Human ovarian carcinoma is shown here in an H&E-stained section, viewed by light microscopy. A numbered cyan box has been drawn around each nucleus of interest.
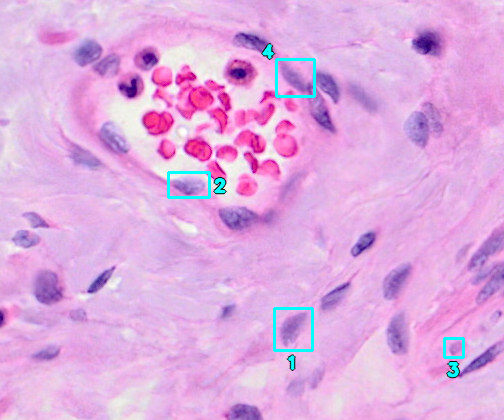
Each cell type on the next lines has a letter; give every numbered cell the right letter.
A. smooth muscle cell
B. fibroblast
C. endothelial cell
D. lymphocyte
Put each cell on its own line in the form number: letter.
1: B
2: C
3: A
4: C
